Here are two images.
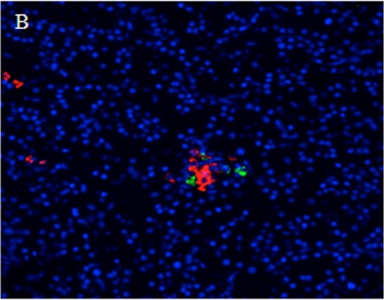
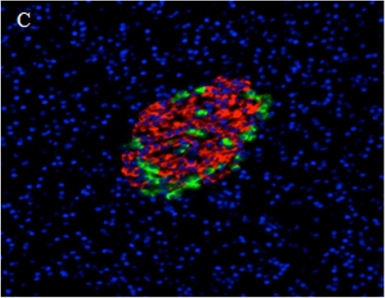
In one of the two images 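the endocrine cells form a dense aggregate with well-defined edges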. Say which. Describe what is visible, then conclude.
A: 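The second image. Second image: a large tightly packed oval cluster of red and green cells with a sharp border. First image: only a few red and green cells in a small loose group without a clear border.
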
